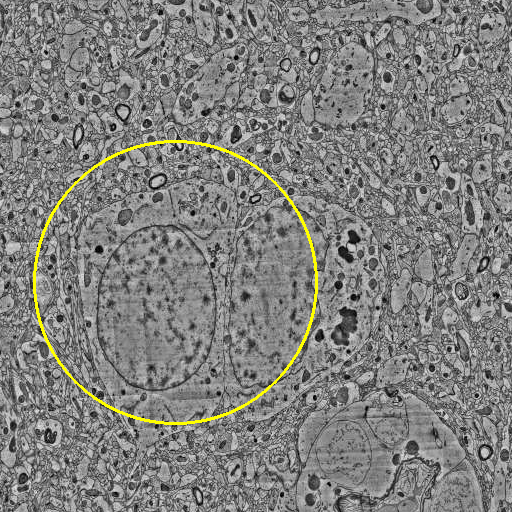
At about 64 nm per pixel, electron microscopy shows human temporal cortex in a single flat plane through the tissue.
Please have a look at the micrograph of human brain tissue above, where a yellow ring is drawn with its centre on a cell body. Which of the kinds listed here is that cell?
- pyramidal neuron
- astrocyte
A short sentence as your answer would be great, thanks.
At the centre of the ring sits a pyramidal neuron.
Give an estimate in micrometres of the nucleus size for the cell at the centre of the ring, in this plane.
The nucleus works out at approximately 11 by 8 micrometres in this plane.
